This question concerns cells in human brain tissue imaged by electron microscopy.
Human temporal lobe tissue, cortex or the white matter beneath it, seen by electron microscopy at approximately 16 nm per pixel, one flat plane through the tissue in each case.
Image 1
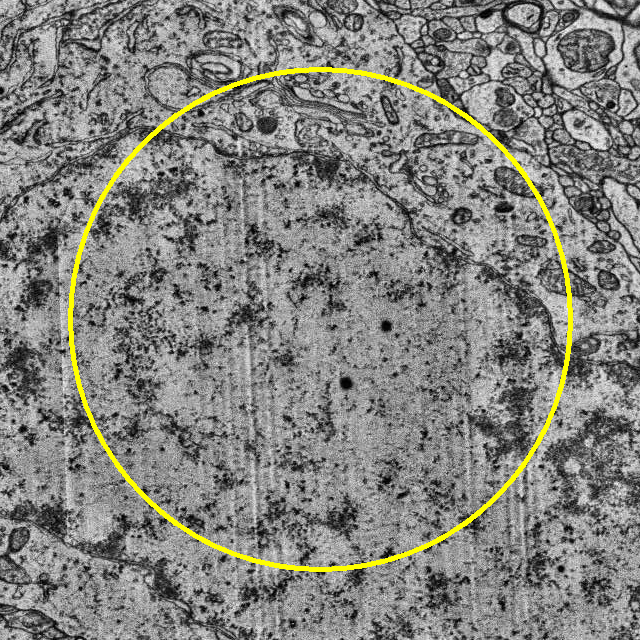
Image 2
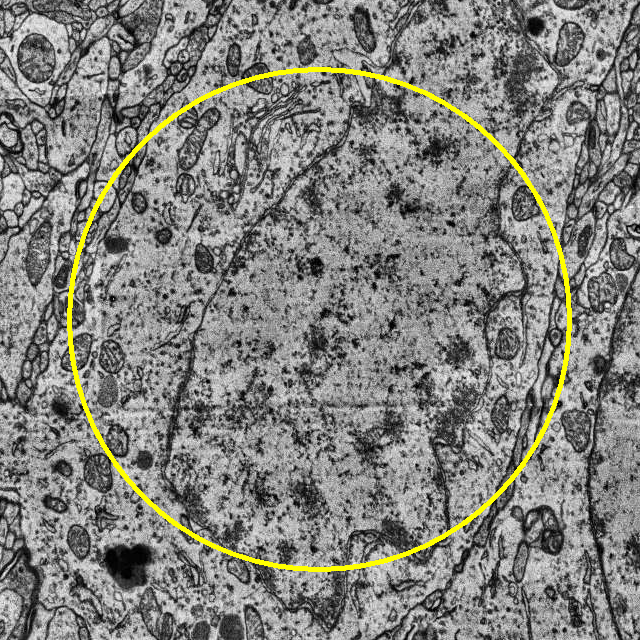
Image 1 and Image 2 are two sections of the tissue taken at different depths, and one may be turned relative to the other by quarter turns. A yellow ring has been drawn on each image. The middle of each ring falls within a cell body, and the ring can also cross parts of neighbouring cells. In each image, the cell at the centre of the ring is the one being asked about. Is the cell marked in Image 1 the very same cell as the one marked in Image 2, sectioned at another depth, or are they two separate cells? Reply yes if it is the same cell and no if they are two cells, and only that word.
yes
